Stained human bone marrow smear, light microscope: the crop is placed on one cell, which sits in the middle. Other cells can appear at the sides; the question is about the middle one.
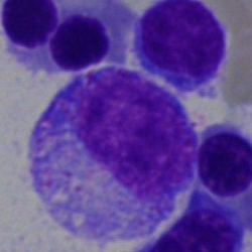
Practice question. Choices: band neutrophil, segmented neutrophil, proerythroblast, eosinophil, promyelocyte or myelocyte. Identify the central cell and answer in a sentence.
The centrally positioned cell in the crop represents a promyelocyte.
